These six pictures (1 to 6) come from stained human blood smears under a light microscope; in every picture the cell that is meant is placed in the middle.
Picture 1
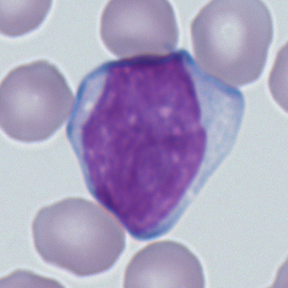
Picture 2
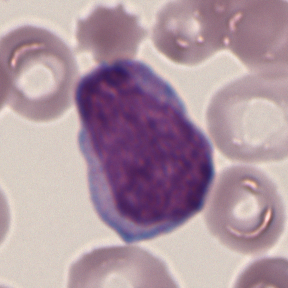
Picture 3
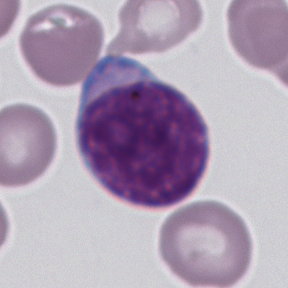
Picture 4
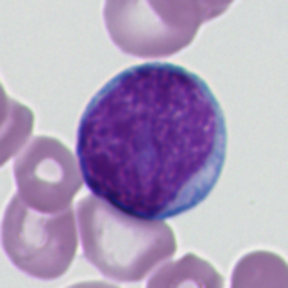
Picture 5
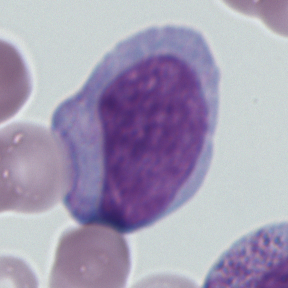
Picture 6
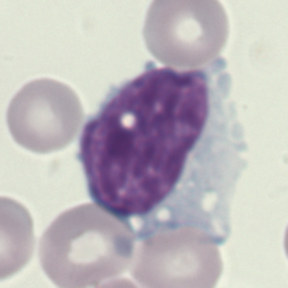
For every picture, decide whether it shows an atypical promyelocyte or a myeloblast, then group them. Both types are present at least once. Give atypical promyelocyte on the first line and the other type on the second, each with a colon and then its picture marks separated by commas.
atypical promyelocyte: 2, 5
myeloblast: 1, 3, 4, 6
